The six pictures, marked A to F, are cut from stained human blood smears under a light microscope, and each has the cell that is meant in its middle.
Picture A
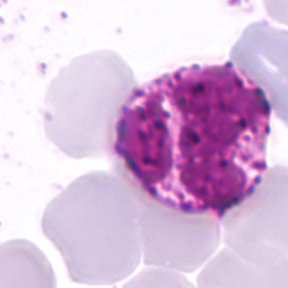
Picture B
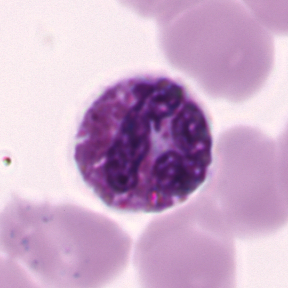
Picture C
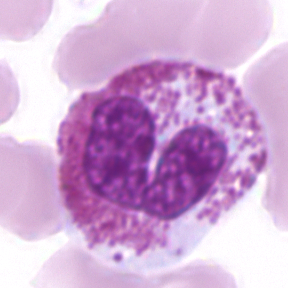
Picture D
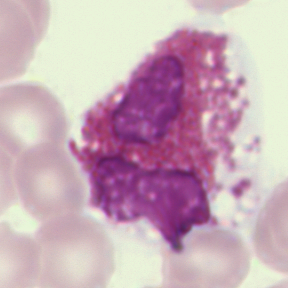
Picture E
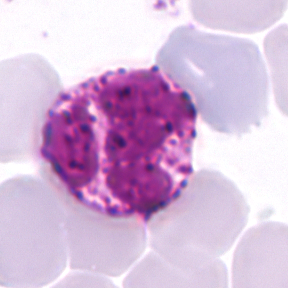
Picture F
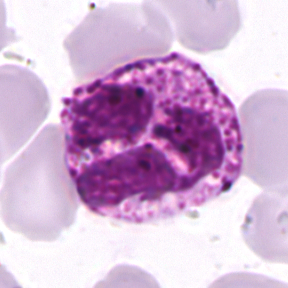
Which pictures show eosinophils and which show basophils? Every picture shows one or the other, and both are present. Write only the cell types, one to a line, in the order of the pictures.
basophil
eosinophil
eosinophil
eosinophil
basophil
basophil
